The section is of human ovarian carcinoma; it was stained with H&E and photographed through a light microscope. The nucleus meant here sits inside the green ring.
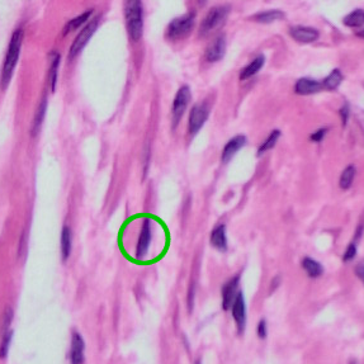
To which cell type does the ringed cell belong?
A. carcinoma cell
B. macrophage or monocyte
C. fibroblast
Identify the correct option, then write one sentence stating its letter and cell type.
The proper choice here is C: the ringed cell is a fibroblast.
